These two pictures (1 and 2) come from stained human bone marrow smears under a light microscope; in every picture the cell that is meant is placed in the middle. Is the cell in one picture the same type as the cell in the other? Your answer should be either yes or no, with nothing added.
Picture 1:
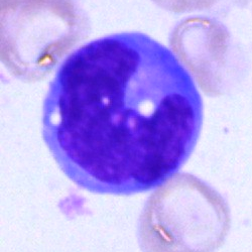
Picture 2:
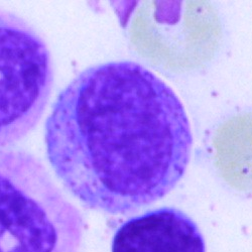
no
